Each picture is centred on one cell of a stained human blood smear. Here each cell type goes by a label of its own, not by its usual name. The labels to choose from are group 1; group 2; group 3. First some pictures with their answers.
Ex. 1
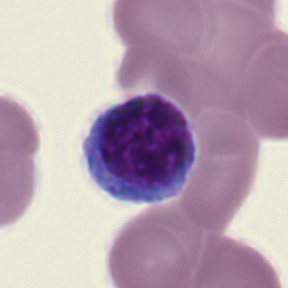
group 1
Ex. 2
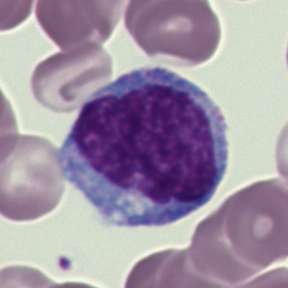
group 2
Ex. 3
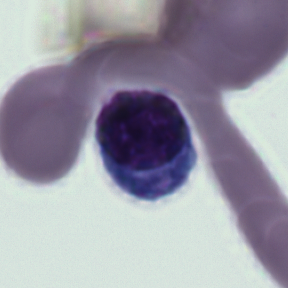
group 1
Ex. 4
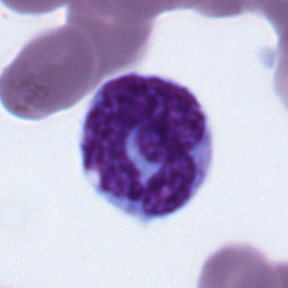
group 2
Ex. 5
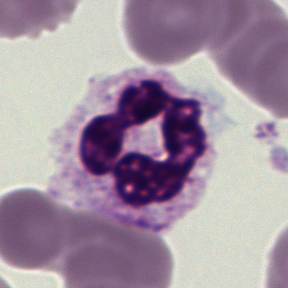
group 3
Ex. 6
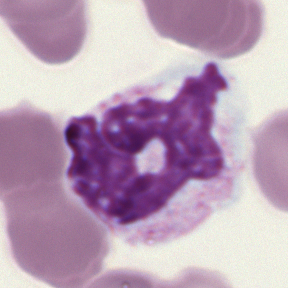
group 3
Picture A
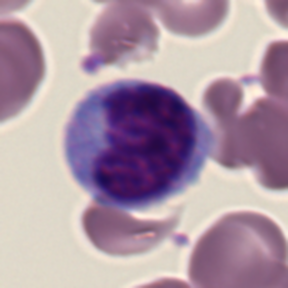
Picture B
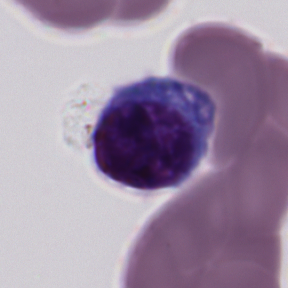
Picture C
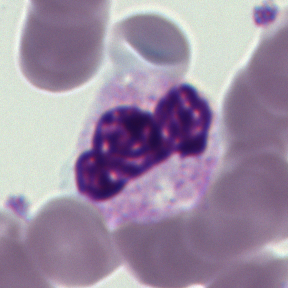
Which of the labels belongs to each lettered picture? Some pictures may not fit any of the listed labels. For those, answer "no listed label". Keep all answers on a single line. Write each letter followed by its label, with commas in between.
A group 2, B group 1, C group 3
